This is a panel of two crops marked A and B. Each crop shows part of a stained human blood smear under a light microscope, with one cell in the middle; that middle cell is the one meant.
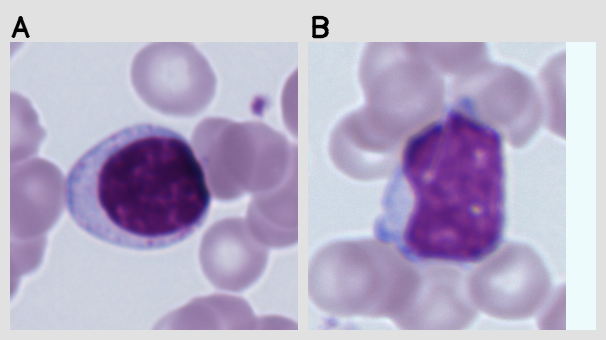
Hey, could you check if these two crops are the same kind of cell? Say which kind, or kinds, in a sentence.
Yes, both crops show large granular lymphocytes in the centre of the field.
